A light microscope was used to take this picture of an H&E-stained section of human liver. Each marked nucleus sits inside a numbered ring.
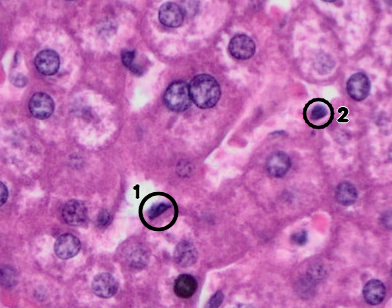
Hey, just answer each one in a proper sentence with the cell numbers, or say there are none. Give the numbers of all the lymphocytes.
The cell marked by number 2 is a lymphocyte; the other marked cells are not.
